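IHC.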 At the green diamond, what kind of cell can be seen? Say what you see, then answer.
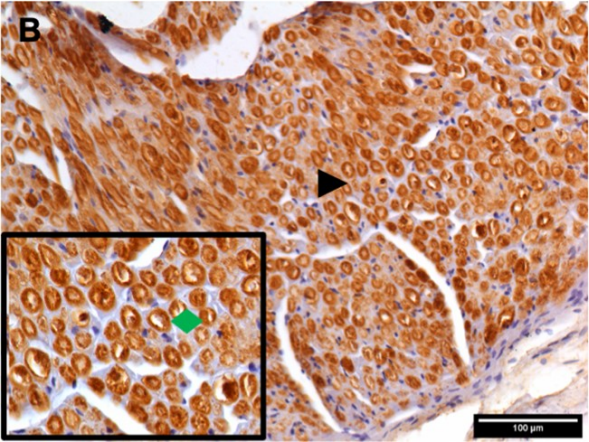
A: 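Schwann cells. The diamond sits among round profiles with brown-stained rings around pale centres. Small blue nuclei lie pressed at the edges of these rings.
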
